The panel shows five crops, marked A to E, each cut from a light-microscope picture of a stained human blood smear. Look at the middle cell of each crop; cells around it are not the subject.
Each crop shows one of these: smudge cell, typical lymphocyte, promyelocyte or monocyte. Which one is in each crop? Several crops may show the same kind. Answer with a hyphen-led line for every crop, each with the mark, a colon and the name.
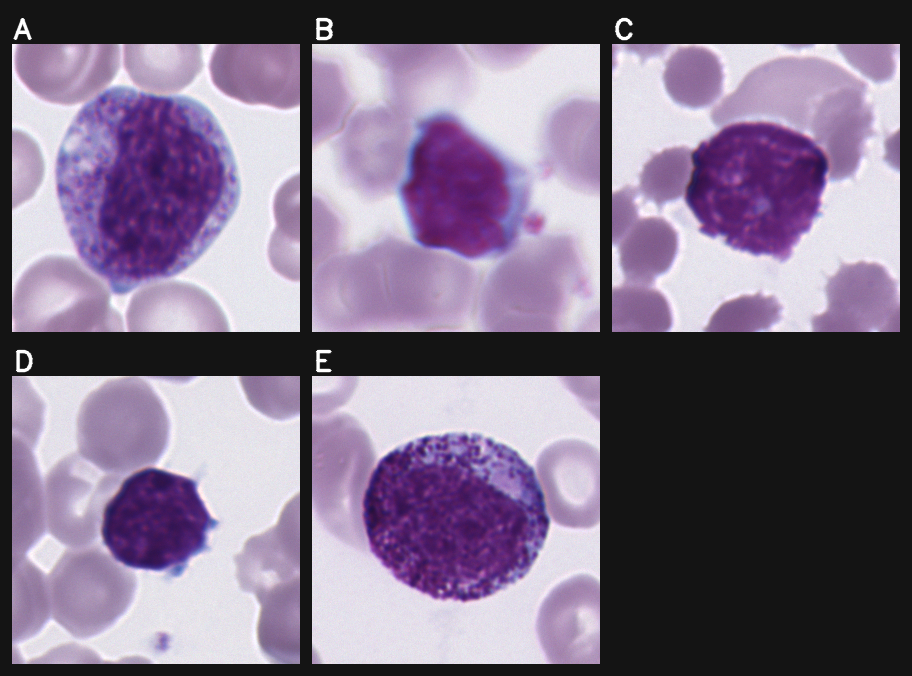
- A: promyelocyte
- B: typical lymphocyte
- C: smudge cell
- D: typical lymphocyte
- E: promyelocyte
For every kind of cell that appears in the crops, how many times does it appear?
promyelocyte: 2
typical lymphocyte: 2
smudge cell: 1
